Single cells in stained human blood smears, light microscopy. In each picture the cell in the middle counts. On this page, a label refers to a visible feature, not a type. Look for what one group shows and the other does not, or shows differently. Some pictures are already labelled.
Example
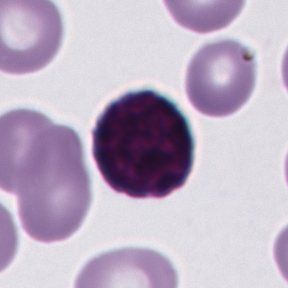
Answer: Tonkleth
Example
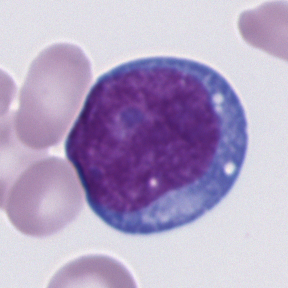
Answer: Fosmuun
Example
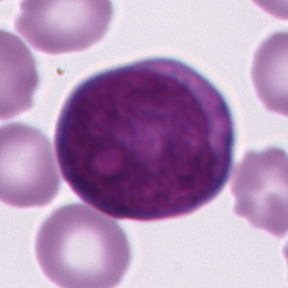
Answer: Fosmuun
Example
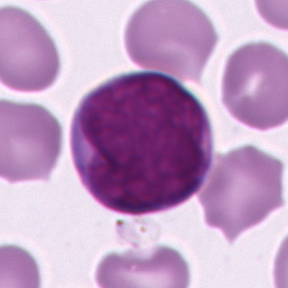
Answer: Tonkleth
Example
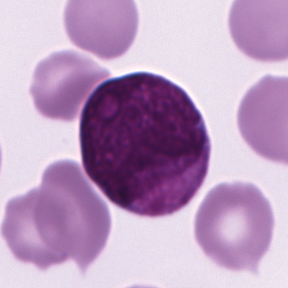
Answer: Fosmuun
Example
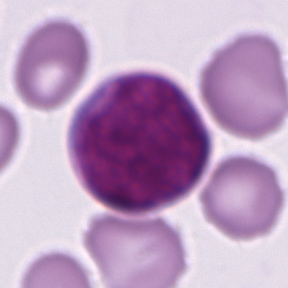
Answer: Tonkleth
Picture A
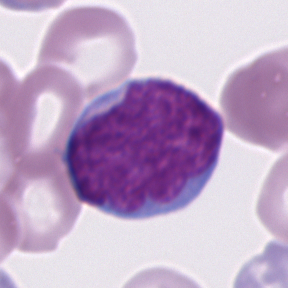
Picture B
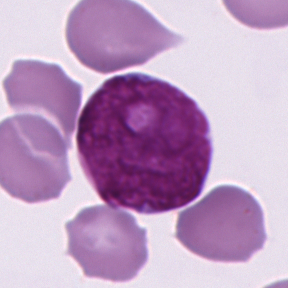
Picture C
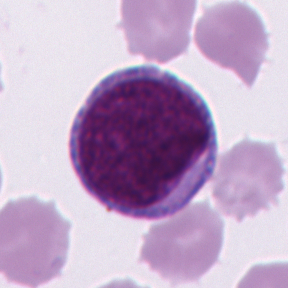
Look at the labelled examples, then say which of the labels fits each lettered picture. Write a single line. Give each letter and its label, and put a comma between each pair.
A Tonkleth, B Fosmuun, C Tonkleth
